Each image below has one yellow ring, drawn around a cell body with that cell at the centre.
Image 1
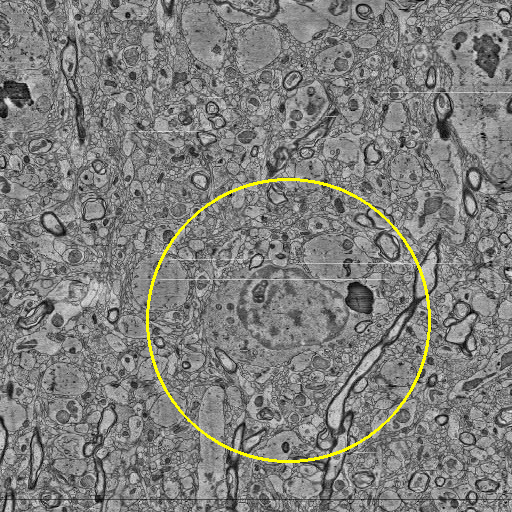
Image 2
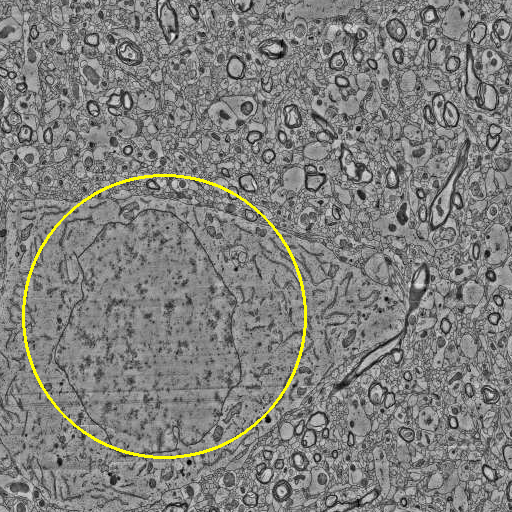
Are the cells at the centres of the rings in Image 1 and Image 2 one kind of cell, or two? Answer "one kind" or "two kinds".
two kinds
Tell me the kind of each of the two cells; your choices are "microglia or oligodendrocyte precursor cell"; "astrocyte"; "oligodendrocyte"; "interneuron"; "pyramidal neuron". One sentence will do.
The ringed cell is an oligodendrocyte in the first picture and a pyramidal neuron in the second picture.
